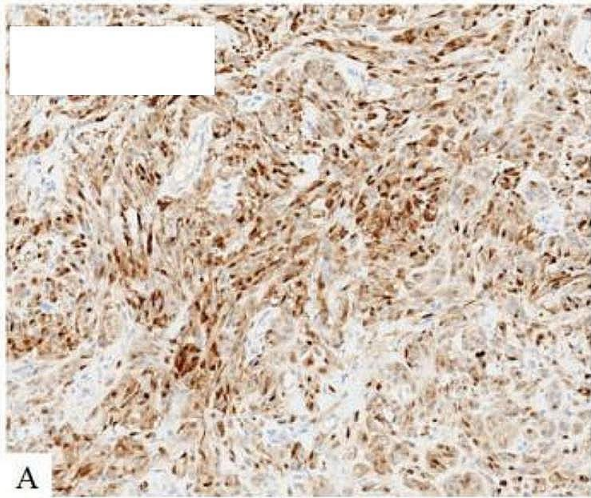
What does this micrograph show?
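Cellular tissue of spindle and plump epithelioid-looking cells arranged in sweeping, interlacing fascicles, with brown stain spread widely through the cells. The cytoplasm of elongated cells is tinted brown, and many nuclei are darker brown as well; intensity varies from pale tan to deep brown between areas. Some regions show larger cells with more abundant, paler cytoplasm and rounder nuclei. Thin pale strands of stroma and small vessels run between the bundles, with bluish counterstained nuclei there. The staining is diffuse across the field rather than confined to a few cells.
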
